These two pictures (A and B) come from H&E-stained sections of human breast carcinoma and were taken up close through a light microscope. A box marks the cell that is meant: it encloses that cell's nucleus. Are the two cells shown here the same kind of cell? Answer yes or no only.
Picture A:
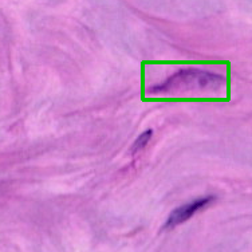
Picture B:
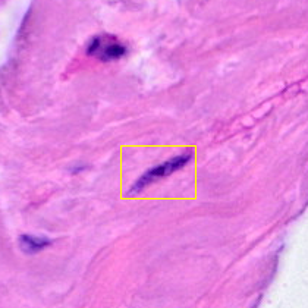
yes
